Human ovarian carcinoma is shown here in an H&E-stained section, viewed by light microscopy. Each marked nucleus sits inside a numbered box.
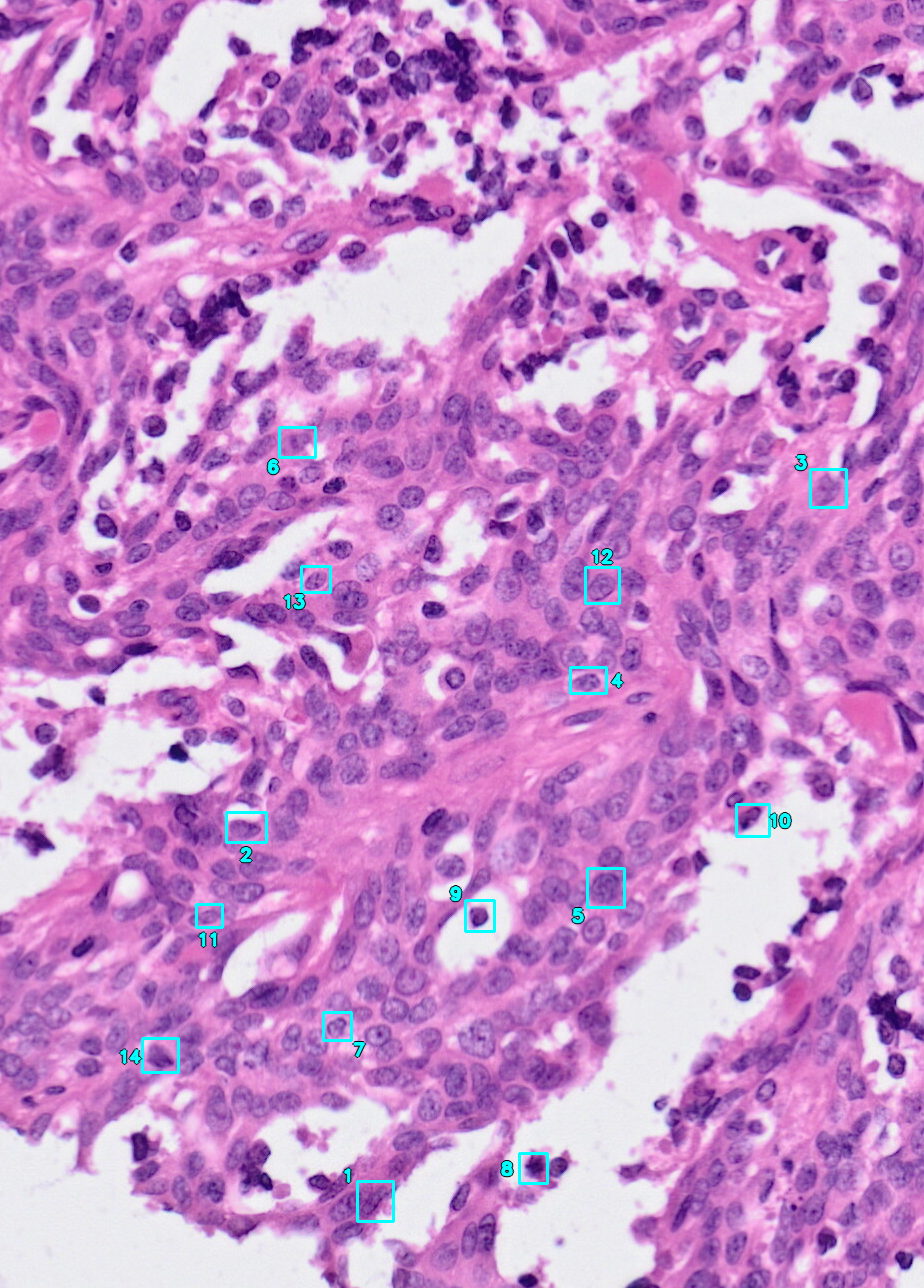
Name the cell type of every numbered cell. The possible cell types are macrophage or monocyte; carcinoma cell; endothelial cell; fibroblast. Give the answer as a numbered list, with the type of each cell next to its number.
1. carcinoma cell
2. macrophage or monocyte
3. carcinoma cell
4. macrophage or monocyte
5. carcinoma cell
6. carcinoma cell
7. macrophage or monocyte
8. macrophage or monocyte
9. carcinoma cell
10. macrophage or monocyte
11. macrophage or monocyte
12. carcinoma cell
13. macrophage or monocyte
14. carcinoma cell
